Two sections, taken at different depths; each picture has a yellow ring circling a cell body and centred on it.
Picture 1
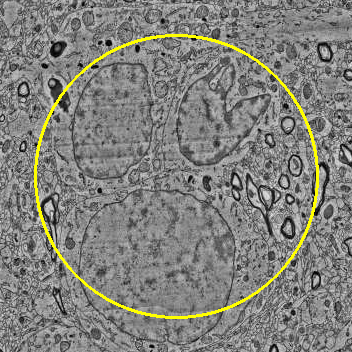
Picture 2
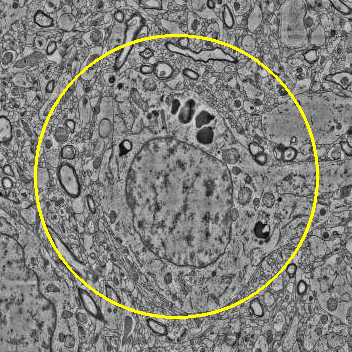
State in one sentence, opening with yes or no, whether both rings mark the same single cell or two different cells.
No, the pair of rings marks a pair of different cells.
